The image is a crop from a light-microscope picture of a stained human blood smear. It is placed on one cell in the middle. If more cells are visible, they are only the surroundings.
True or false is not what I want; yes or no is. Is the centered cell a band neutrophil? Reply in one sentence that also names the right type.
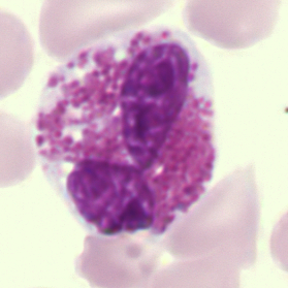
No, it is an eosinophil that sits in the middle, not a band neutrophil.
